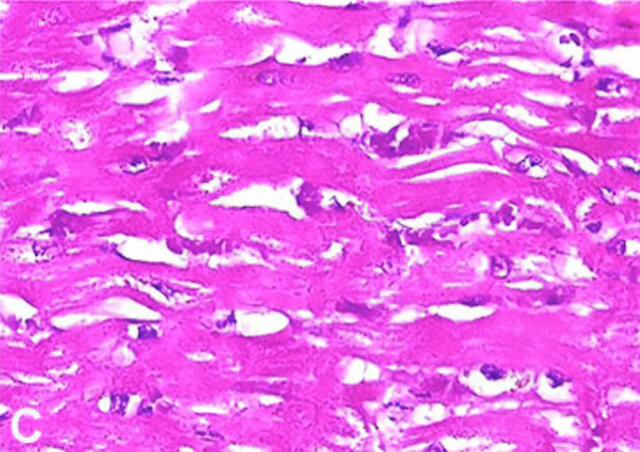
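Cardiac muscle cut along its length, made of elongated, enlarged heart muscle cells. Their cytoplasm stains densely pink and they run roughly in parallel bands from side to side, some seeming to branch and join their neighbours. The nuclei are dark purple, large and irregular, some plump or blocky, others bent or crowded into clusters. Narrow, irregular clear spaces separate many of the fibres, giving the tissue a loosened, slit-like pattern. No inflammatory cell infiltrate or scarring is clearly seen in this field.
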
